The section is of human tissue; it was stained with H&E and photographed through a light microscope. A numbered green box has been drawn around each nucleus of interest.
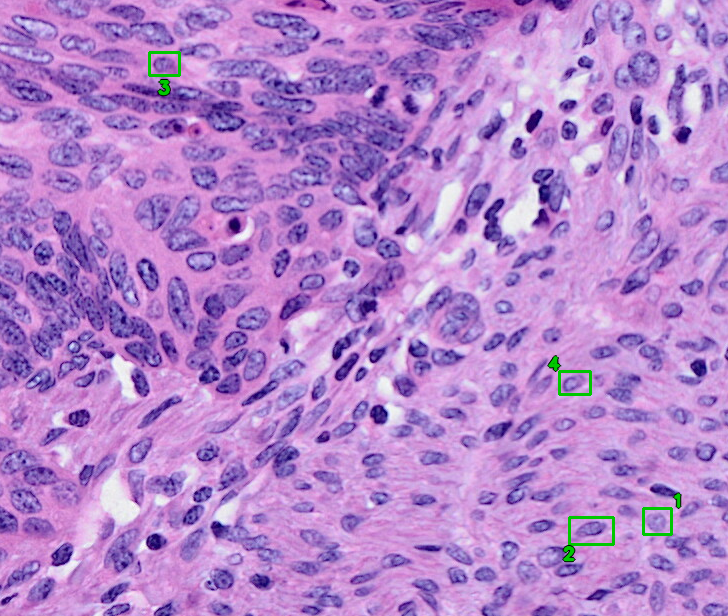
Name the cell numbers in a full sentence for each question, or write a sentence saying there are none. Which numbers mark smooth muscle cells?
So, the cells with numbers 1, 2 and 4 are smooth muscle cells.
